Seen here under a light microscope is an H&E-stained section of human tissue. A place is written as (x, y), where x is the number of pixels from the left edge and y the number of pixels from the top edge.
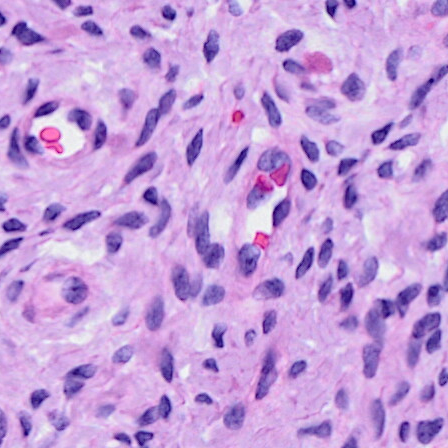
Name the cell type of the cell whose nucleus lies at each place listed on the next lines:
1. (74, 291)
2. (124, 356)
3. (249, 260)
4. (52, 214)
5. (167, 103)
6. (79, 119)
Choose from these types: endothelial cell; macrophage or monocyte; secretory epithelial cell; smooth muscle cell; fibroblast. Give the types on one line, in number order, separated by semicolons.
endothelial cell; fibroblast; endothelial cell; fibroblast; fibroblast; endothelial cell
